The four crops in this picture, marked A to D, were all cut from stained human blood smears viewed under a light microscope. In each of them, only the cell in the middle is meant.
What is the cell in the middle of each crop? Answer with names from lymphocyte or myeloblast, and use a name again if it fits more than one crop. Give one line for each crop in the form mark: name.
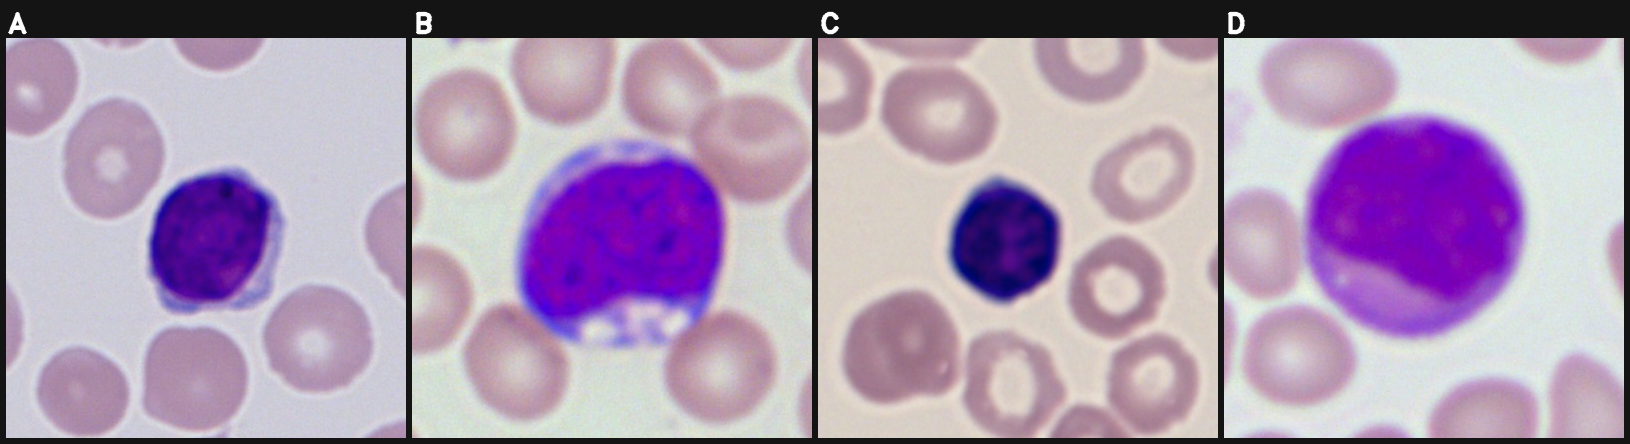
A: lymphocyte
B: myeloblast
C: lymphocyte
D: myeloblast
